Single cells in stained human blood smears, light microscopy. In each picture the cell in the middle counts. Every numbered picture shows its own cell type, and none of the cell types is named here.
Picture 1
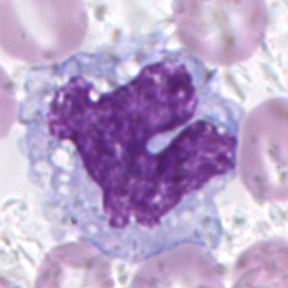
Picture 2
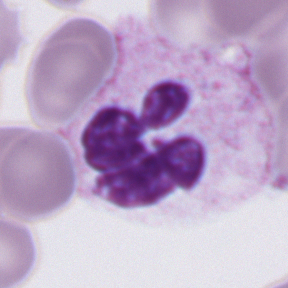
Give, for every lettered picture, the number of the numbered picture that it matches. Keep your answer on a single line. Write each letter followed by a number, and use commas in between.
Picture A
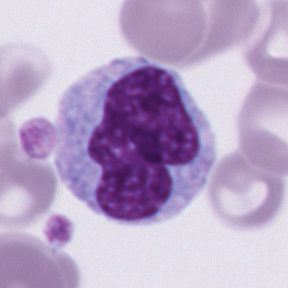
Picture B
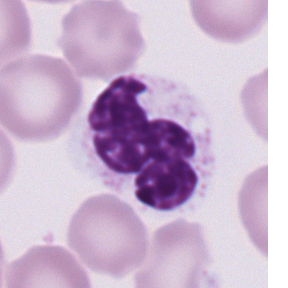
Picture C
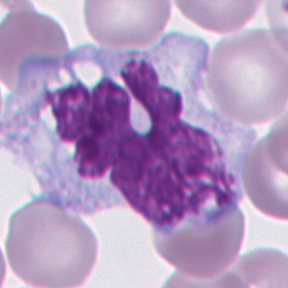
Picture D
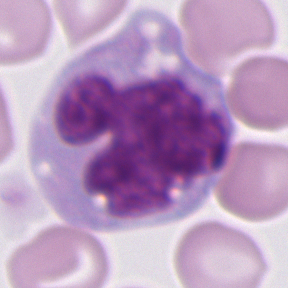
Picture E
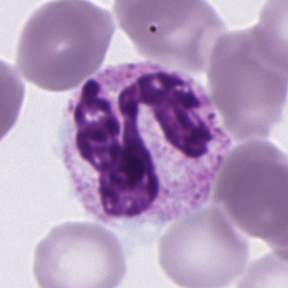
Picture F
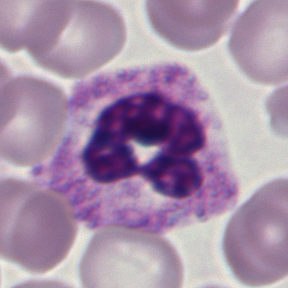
A 1, B 2, C 1, D 1, E 2, F 2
